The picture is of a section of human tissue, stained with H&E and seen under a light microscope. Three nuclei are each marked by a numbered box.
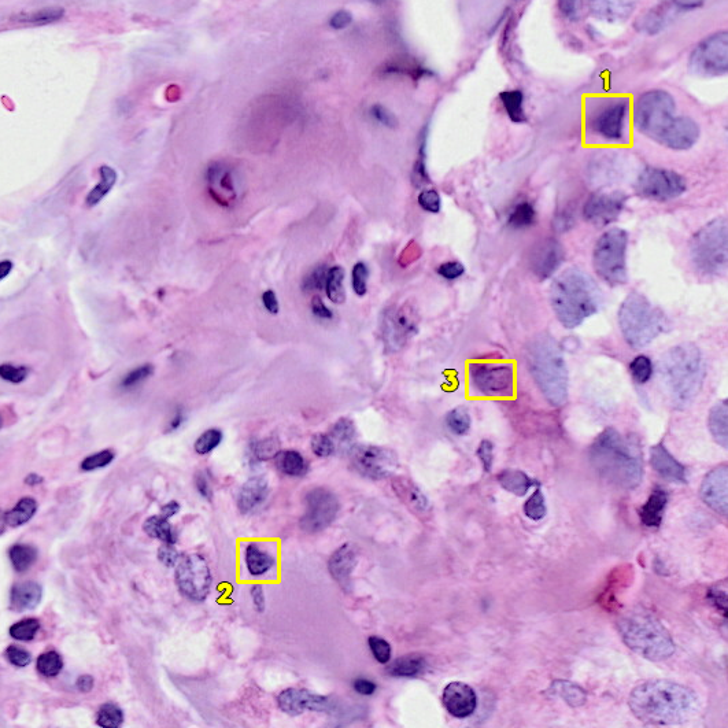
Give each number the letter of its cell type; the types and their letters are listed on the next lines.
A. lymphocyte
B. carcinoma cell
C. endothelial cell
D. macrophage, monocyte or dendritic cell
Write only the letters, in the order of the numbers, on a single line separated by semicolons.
B; A; C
